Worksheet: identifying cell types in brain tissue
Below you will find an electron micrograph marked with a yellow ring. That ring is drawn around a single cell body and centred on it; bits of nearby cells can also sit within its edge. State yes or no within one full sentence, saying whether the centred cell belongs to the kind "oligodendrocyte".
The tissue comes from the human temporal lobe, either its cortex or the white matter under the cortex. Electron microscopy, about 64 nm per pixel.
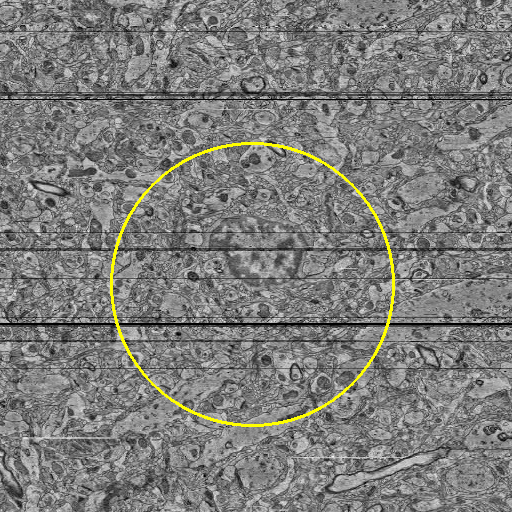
Yes, the cell sitting at the centre of the yellow ring in this picture is of that kind.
